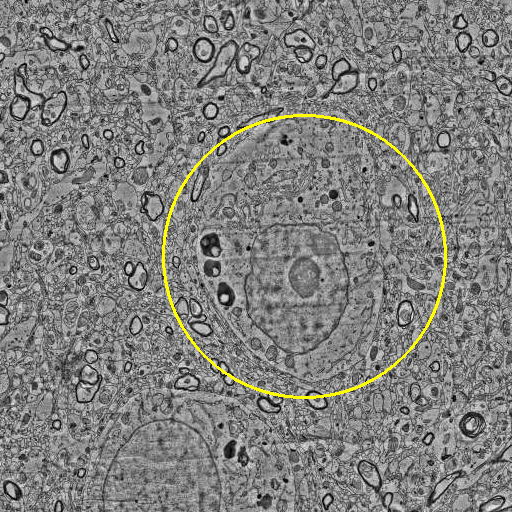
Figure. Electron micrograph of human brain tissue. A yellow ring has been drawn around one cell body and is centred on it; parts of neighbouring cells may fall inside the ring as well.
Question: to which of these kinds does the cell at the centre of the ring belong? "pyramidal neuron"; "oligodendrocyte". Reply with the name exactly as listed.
pyramidal neuron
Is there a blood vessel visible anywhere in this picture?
No, none appears.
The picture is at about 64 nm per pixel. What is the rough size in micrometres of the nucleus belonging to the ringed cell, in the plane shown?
In this plane, about 9 micrometres in length and 7 in width.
